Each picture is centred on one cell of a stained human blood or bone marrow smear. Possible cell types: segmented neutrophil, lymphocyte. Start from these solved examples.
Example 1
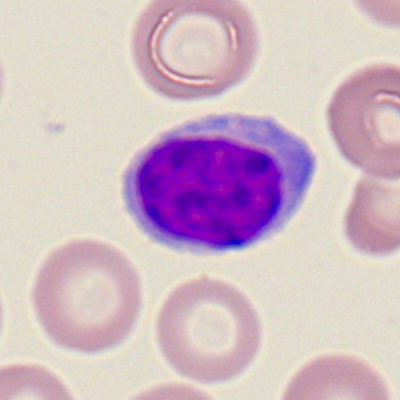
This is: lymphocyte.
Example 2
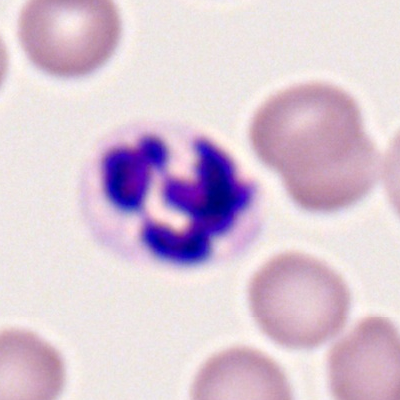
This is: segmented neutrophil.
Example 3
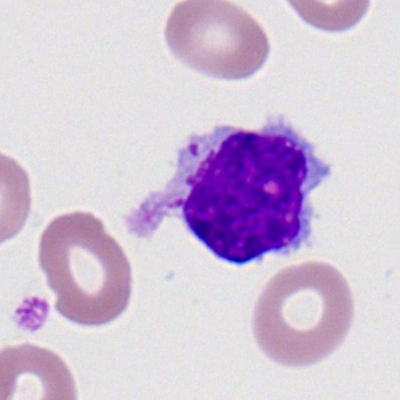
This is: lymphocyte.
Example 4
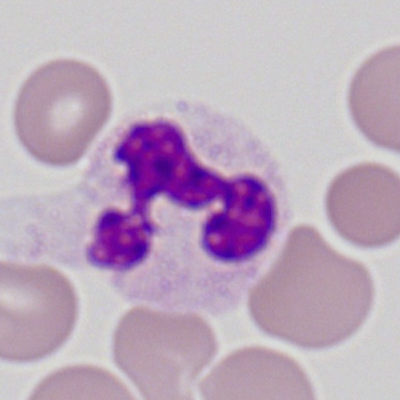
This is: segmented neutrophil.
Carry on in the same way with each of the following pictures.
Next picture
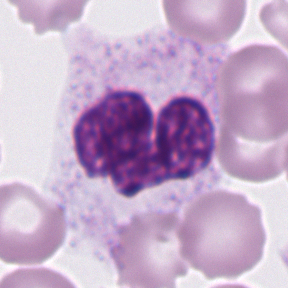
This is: segmented neutrophil.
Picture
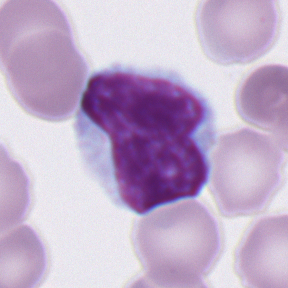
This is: lymphocyte.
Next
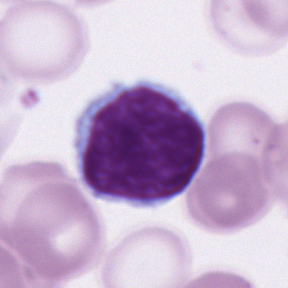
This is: lymphocyte.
